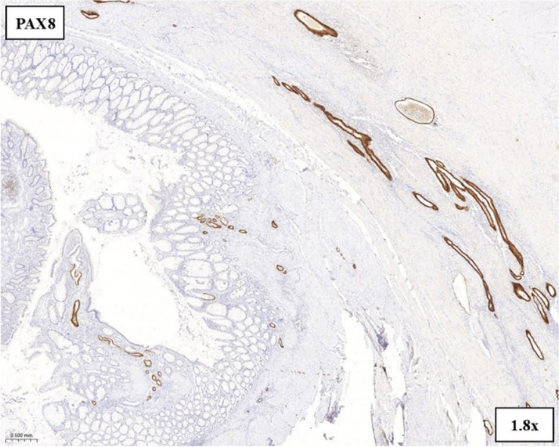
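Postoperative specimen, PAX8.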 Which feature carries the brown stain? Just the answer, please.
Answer: Endometrial glands.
